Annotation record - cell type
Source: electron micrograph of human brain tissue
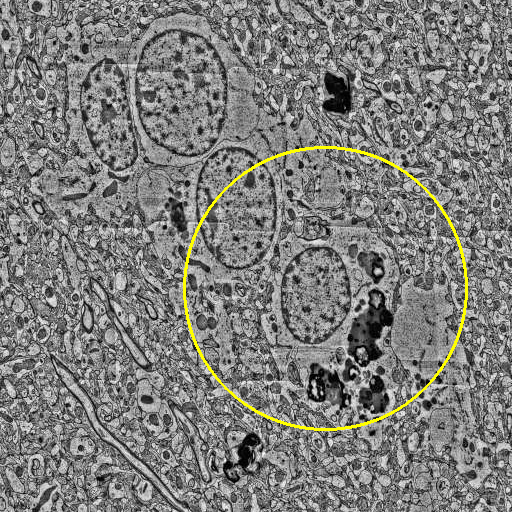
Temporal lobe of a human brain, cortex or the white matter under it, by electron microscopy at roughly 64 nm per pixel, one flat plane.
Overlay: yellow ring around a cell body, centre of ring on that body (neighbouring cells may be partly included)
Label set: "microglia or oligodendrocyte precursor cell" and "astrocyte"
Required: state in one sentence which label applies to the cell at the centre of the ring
This cell should be labelled as an astrocyte.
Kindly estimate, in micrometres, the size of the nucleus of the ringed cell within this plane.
The nucleus is approximately 6 micrometers long by 4 micrometers wide in this plane.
